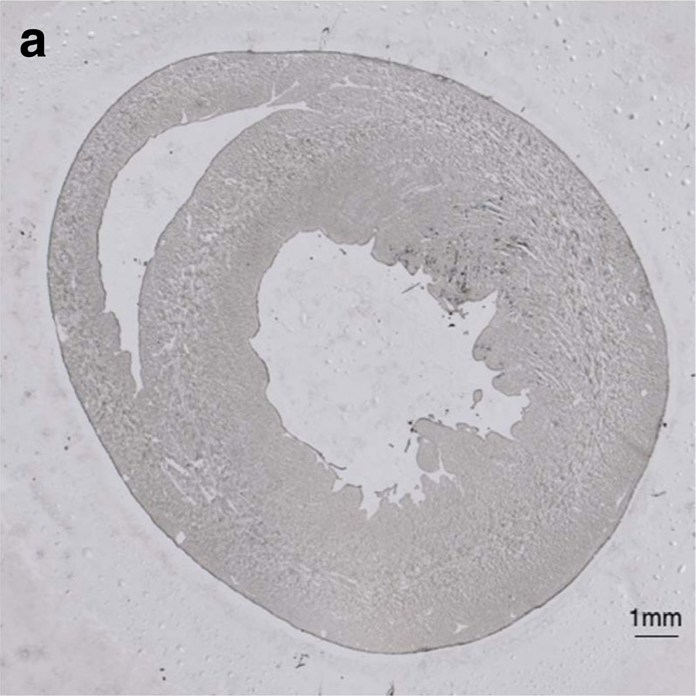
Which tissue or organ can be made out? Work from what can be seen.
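A round cross-section with a thick muscular wall around a central cavity. A thinner crescent-shaped wall encloses a second slit-like cavity on the left side. So: heart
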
